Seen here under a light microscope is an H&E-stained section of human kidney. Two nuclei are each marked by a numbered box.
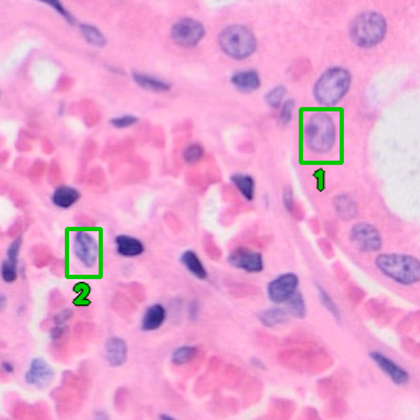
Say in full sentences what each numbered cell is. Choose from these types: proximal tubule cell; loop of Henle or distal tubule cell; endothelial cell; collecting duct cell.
Cell 1 is a proximal tubule cell. Cell 2 is an endothelial cell.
